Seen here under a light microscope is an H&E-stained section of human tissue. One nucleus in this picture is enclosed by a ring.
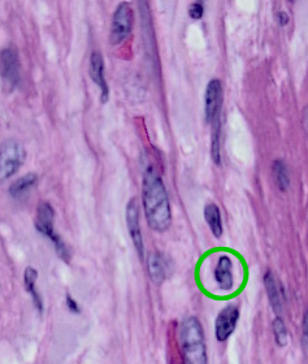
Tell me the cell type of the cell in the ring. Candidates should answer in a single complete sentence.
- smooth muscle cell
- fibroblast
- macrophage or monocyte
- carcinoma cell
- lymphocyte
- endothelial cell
By its classification, the cell in the ring is a lymphocyte.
